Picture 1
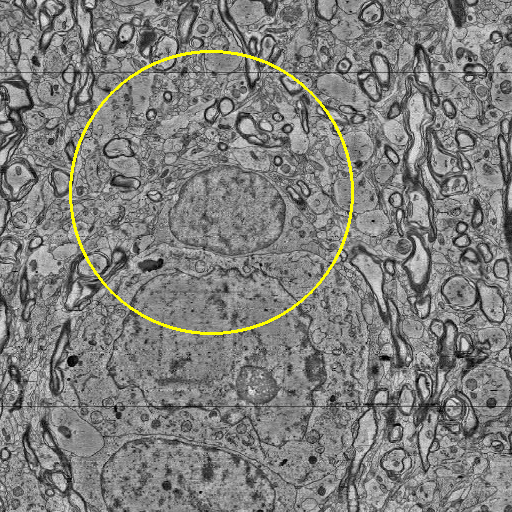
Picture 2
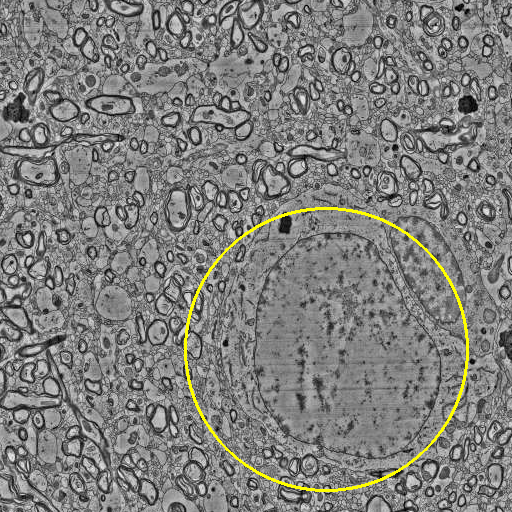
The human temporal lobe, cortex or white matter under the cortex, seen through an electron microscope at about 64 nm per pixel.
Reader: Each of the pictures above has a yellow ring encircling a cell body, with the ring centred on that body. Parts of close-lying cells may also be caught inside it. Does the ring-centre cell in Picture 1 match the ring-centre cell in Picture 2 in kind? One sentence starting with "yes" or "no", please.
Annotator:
No, Picture 1 and Picture 2 show ring-centre cells of two kinds.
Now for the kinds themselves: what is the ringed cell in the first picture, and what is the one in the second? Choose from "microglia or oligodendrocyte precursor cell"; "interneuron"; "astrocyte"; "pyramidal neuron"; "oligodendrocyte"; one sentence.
Here the first cell is an oligodendrocyte and the second cell is a pyramidal neuron.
